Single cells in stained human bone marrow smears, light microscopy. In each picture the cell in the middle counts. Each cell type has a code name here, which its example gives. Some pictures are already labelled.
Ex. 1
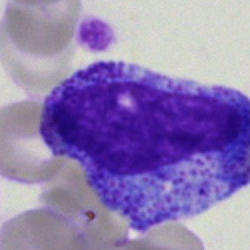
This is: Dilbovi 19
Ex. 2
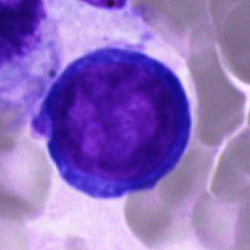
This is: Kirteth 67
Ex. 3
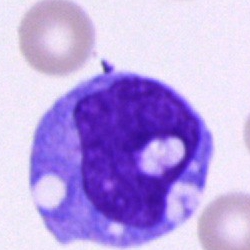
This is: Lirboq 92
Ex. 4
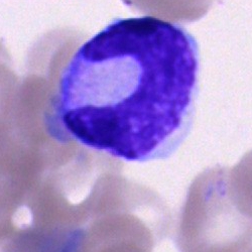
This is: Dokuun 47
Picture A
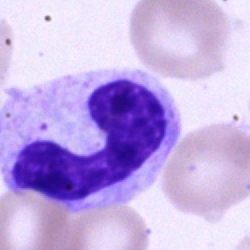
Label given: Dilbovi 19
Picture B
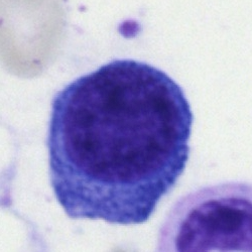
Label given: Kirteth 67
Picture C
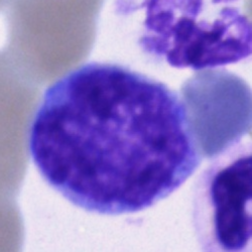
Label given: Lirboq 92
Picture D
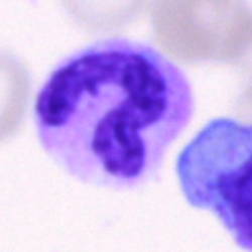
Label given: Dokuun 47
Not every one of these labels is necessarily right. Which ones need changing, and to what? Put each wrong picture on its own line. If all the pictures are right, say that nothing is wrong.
A is labelled Dilbovi 19; correct label: Dokuun 47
